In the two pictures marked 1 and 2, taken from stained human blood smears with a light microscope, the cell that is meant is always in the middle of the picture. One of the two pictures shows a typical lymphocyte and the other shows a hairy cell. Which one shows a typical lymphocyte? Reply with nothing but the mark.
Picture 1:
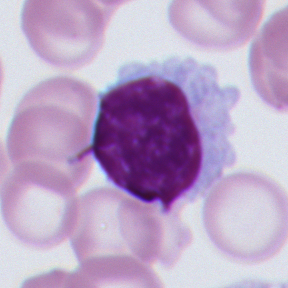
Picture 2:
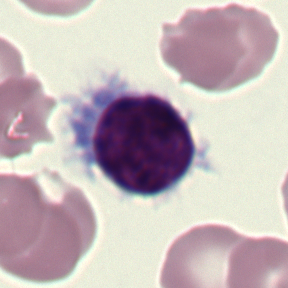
1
